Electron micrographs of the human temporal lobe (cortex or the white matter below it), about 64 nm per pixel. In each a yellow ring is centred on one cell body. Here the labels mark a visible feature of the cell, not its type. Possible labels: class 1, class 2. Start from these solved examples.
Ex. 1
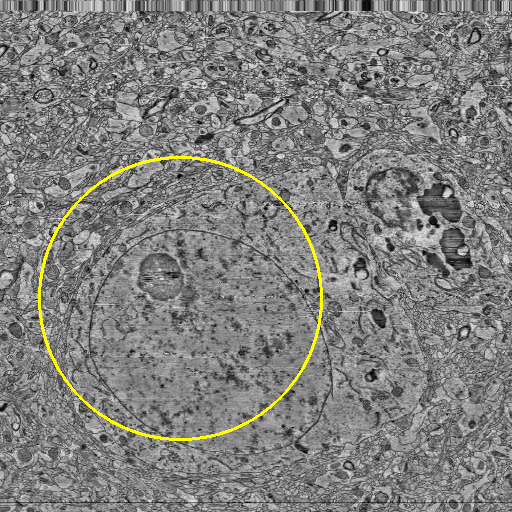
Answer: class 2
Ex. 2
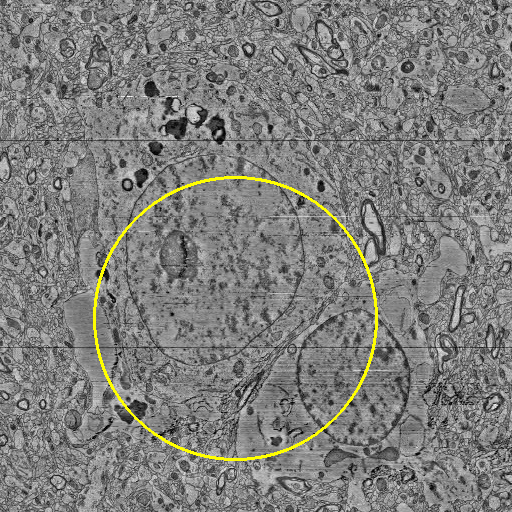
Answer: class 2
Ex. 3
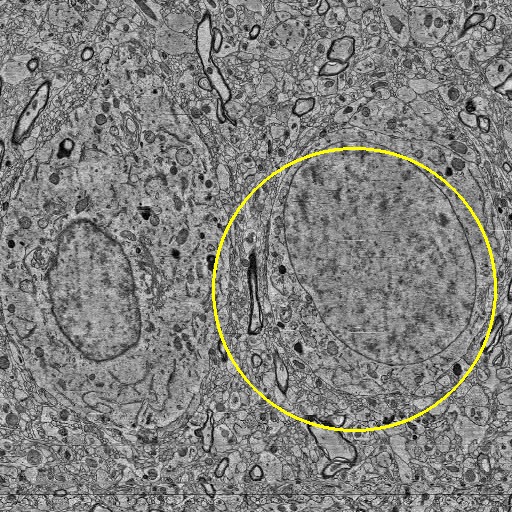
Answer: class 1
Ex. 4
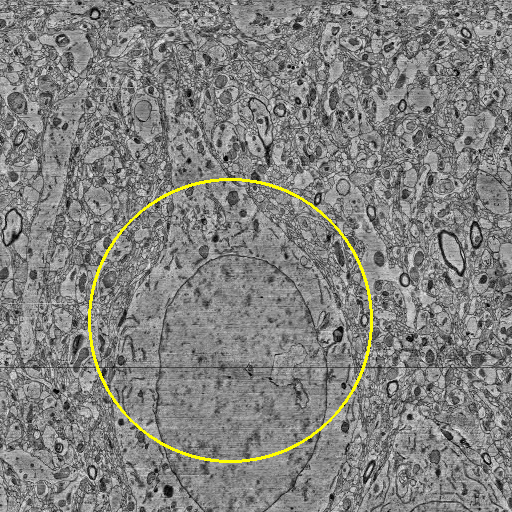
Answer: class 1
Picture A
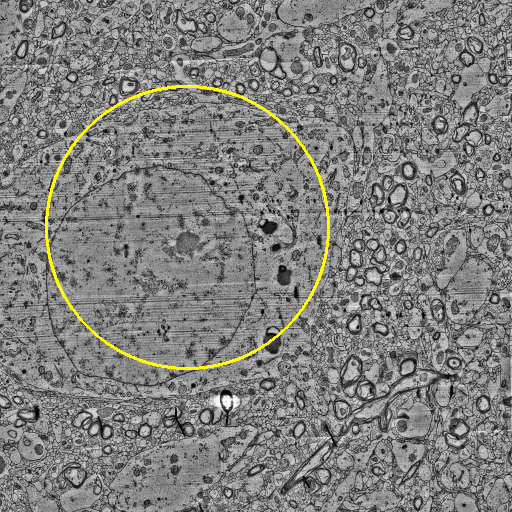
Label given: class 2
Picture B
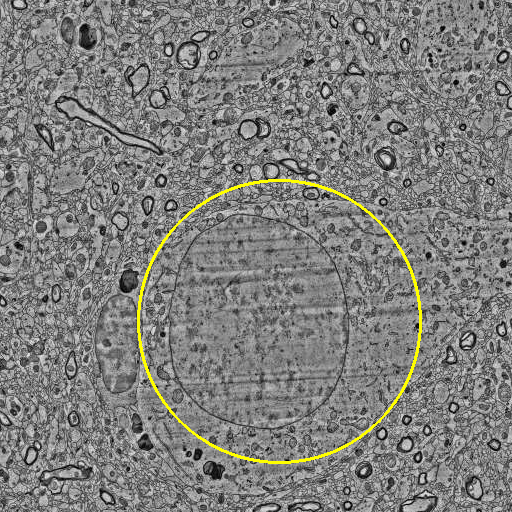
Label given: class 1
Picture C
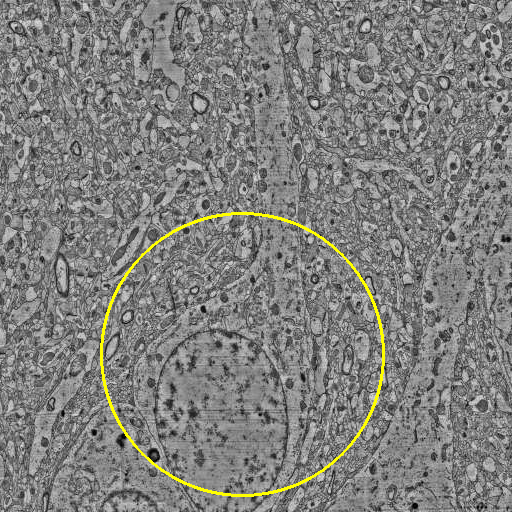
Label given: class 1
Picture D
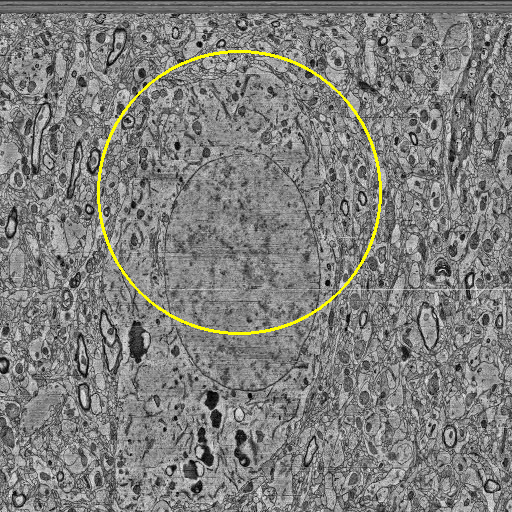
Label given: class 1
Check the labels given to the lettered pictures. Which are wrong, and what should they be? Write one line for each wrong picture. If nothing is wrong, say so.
No label is wrong.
